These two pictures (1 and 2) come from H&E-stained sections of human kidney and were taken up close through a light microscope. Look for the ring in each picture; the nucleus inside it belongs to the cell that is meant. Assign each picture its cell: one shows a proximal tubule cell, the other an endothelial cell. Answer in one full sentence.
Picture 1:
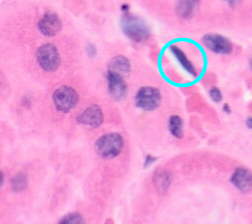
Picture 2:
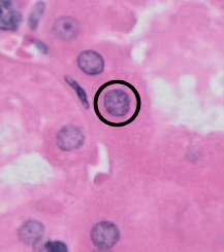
Picture 2 shows a proximal tubule cell, while picture 1 shows an endothelial cell.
